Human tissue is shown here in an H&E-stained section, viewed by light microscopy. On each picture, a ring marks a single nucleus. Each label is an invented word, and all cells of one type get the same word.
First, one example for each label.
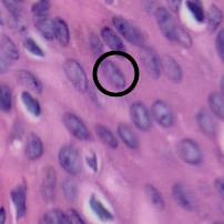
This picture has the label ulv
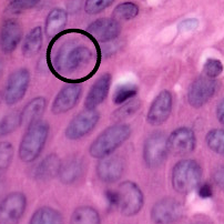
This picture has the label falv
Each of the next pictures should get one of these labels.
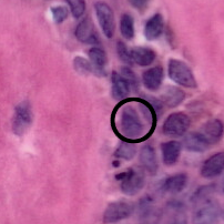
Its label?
falv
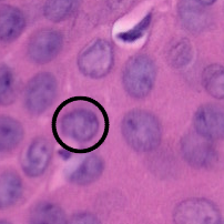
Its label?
ulv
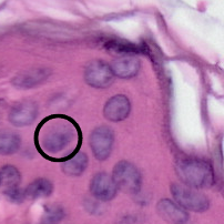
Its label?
ulv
